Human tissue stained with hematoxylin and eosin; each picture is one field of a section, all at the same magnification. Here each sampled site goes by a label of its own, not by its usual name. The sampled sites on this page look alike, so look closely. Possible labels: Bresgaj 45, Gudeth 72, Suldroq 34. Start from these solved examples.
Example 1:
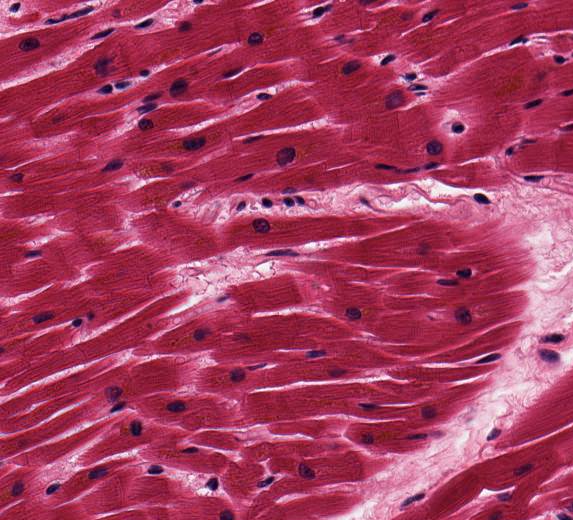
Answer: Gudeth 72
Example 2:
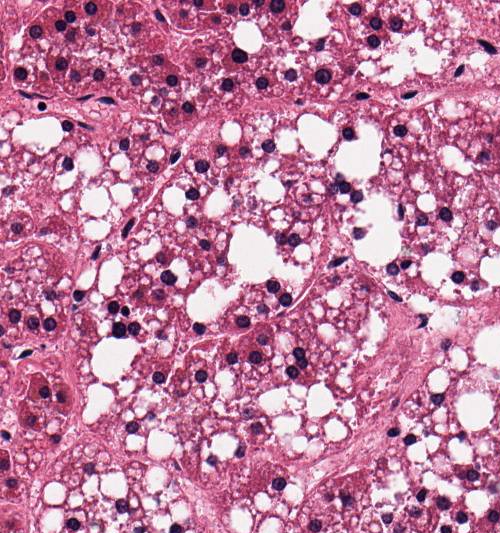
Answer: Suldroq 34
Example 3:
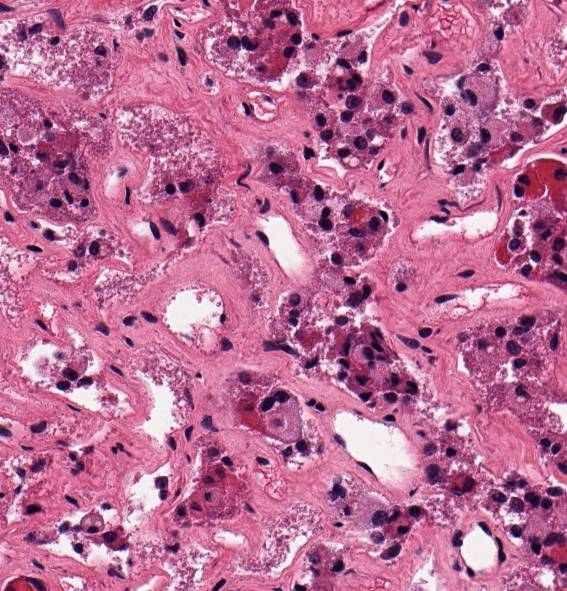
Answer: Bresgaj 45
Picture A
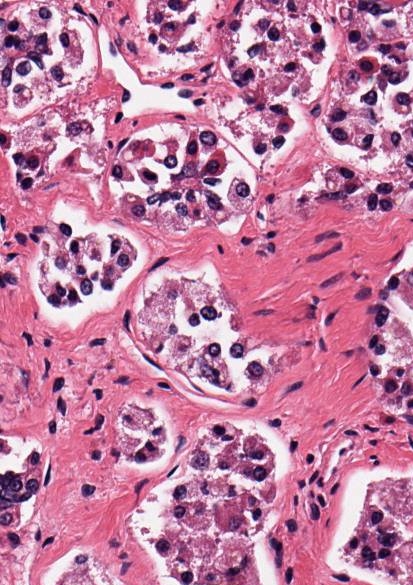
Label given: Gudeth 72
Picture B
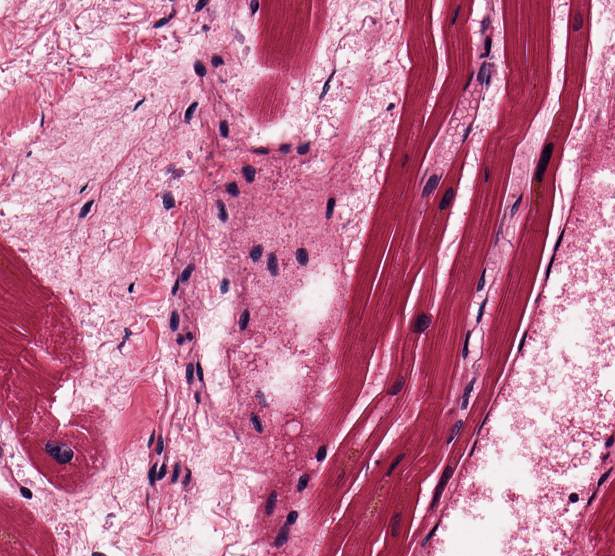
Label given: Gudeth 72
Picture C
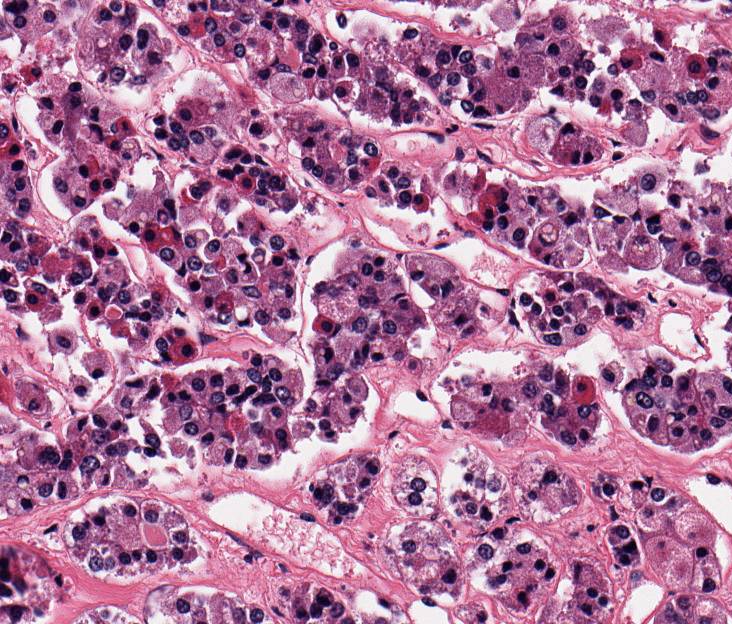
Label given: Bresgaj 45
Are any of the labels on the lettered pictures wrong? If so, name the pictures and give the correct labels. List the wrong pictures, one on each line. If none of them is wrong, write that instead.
A: change Gudeth 72 to Bresgaj 45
